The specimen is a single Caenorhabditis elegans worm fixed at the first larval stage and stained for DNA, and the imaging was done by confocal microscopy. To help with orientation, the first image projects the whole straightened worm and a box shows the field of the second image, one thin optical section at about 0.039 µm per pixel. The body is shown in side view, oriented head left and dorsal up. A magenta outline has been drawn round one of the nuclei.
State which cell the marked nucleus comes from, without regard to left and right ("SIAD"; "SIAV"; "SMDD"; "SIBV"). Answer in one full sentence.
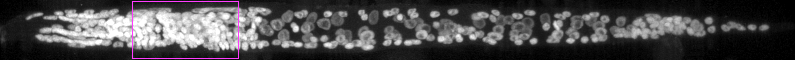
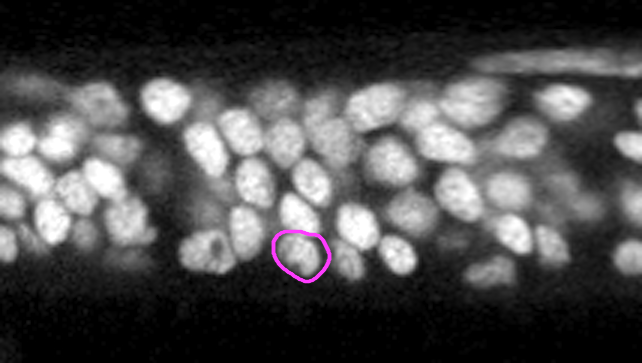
The marked nucleus belongs to SMDD, a neuron.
